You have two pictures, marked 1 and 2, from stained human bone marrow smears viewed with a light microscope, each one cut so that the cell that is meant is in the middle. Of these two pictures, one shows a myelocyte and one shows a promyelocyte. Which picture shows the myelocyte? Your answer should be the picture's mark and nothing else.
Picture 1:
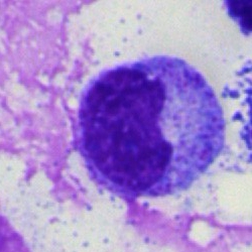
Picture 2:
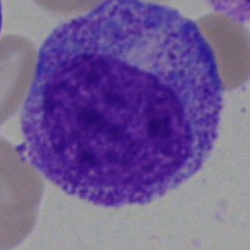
1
